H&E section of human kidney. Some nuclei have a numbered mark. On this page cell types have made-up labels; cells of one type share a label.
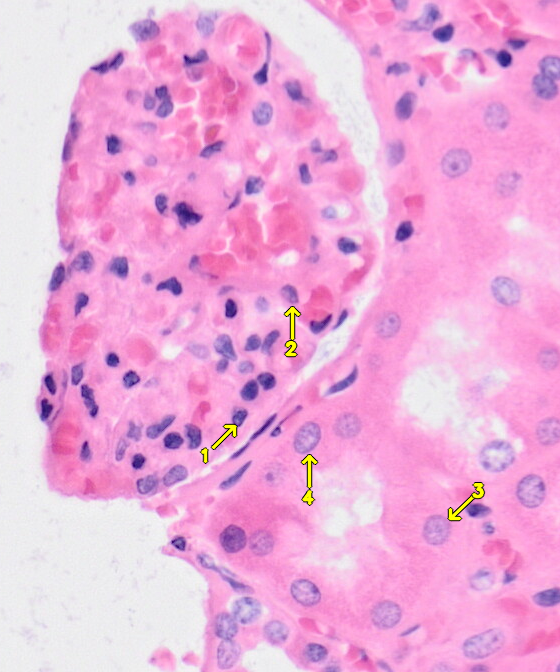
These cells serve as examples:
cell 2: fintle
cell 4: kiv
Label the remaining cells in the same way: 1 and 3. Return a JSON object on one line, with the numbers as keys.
{"1": "fintle", "3": "kiv"}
